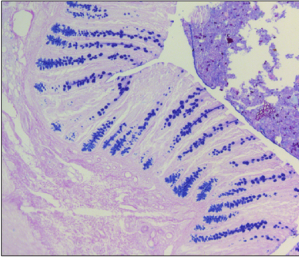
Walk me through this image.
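This section of colonic mucosa shows long, closely packed crypts running in parallel, radiating from the lumen. Along each crypt, rows of rounded goblet cells stain dark blue to purple, standing out against the pale pink epithelium. Purple-stained contents and mucus-like material fill the lumen at the upper right. Pale pink connective tissue and muscle lie beneath the crypts at the lower left.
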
